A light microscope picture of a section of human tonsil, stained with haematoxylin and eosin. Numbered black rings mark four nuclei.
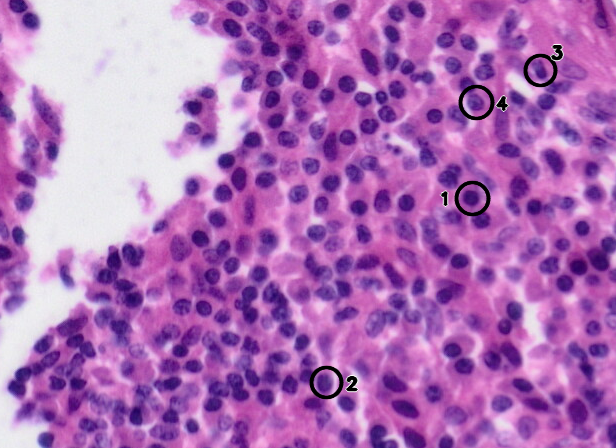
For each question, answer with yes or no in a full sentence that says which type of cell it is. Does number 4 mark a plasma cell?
Yes, the cell with the mark numbered 4 is a plasma cell.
